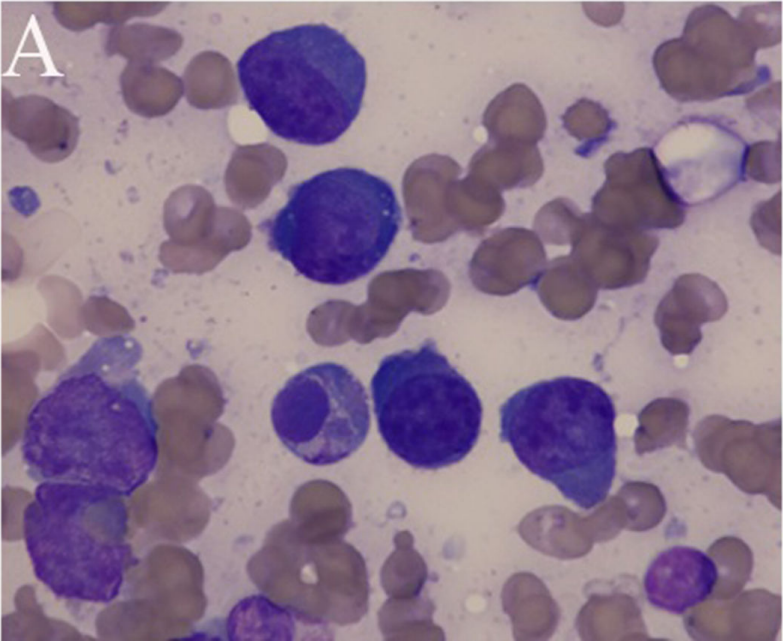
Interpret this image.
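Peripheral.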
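A blood smear shows scattered large abnormal mononuclear cells among numerous crowded red cells. The large cells have deep blue cytoplasm and big round to oval nuclei with fairly fine purple chromatin; in several the nucleus sits towards one side, leaving a band of blue cytoplasm. Sizes vary from cell to cell, and two large cells at the lower left have paler, more open nuclei. One smaller cell shows a rounded nucleus pushed to the edge with pale vacuolated cytoplasm. A small dense purple cell lies at the bottom.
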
